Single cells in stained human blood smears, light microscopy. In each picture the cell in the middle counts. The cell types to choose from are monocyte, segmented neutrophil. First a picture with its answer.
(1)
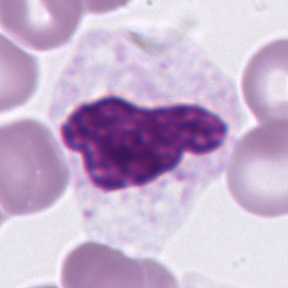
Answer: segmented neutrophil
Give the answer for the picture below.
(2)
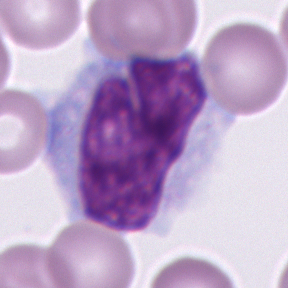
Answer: monocyte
